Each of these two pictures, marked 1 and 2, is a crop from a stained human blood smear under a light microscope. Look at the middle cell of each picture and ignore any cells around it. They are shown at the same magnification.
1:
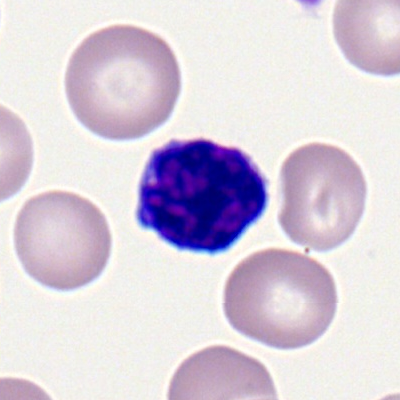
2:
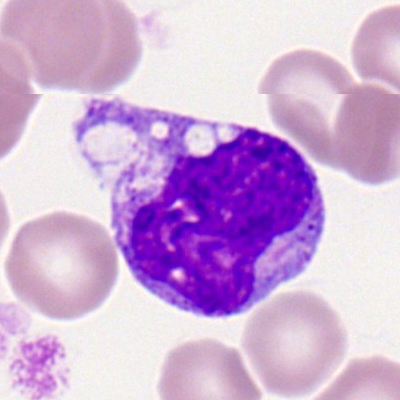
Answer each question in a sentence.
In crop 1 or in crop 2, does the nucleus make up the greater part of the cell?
It is the cell in crop 1 that is filled more by its nucleus.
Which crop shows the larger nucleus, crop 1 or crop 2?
Larger is the nucleus in crop 2, at roughly 2 times the area of the other.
